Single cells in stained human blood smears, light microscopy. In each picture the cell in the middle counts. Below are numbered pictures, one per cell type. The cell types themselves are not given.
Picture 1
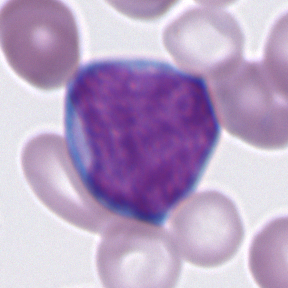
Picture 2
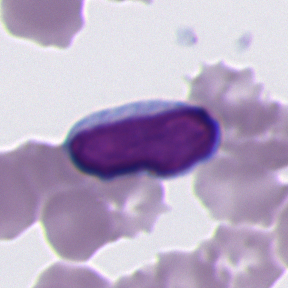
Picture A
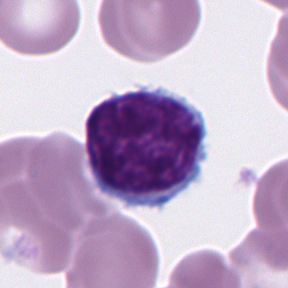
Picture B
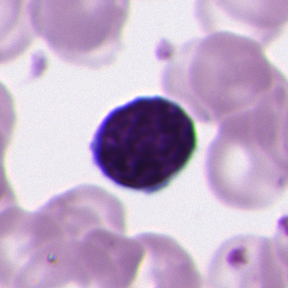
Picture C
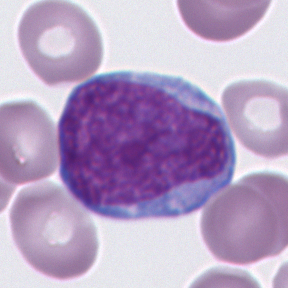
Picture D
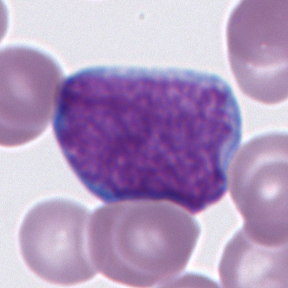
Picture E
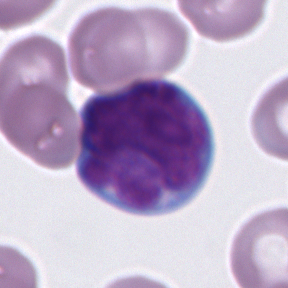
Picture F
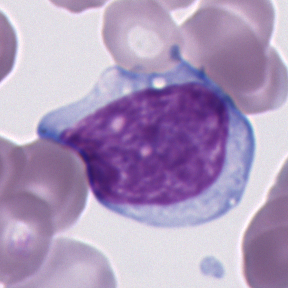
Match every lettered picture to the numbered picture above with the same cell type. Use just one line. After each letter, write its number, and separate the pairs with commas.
A 2, B 2, C 1, D 1, E 1, F 1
